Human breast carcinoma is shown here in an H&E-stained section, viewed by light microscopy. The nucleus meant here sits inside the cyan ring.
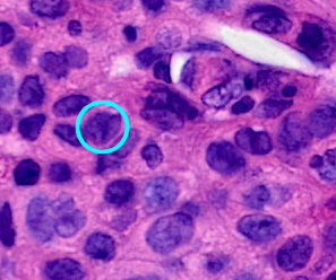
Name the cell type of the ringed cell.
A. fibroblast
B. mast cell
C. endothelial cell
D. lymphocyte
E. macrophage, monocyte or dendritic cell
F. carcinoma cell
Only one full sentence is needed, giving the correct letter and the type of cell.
On this slide, the ringed cell is a carcinoma cell, so option F is right.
